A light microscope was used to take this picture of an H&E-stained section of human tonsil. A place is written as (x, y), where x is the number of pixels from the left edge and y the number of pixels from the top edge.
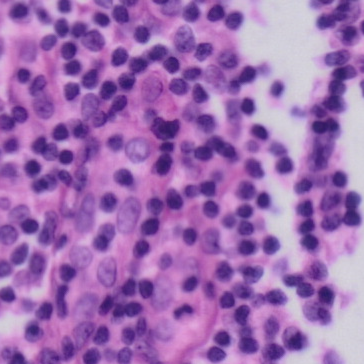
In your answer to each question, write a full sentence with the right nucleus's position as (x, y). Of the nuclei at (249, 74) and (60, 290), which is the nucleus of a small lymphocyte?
It is the nucleus at (249, 74), not the other one, that belongs to a small lymphocyte.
